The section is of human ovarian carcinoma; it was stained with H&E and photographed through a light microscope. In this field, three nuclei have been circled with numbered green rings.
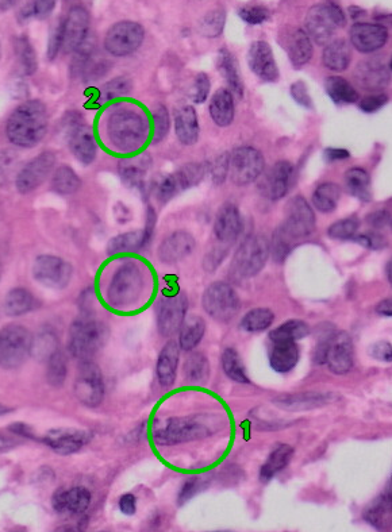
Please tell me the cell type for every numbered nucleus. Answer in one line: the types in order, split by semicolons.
endothelial cell; carcinoma cell; carcinoma cell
